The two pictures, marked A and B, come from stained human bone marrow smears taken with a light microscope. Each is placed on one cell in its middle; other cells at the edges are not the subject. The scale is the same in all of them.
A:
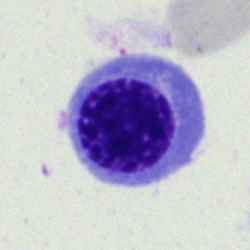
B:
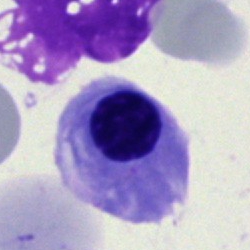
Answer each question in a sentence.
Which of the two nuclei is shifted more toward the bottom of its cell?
It is the nucleus in crop A that lies further toward the bottom of its cell.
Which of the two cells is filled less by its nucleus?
It is the cell in crop B that is filled less by its nucleus.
